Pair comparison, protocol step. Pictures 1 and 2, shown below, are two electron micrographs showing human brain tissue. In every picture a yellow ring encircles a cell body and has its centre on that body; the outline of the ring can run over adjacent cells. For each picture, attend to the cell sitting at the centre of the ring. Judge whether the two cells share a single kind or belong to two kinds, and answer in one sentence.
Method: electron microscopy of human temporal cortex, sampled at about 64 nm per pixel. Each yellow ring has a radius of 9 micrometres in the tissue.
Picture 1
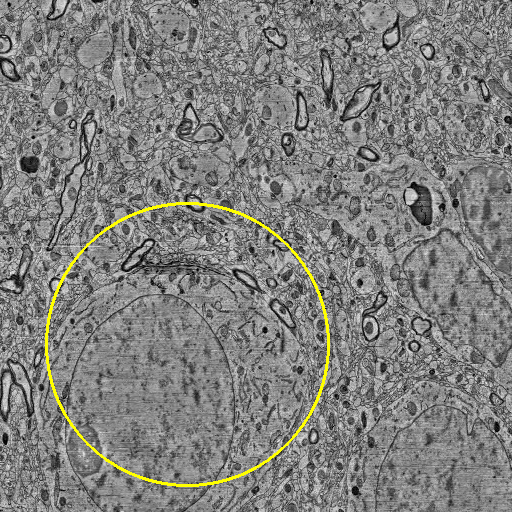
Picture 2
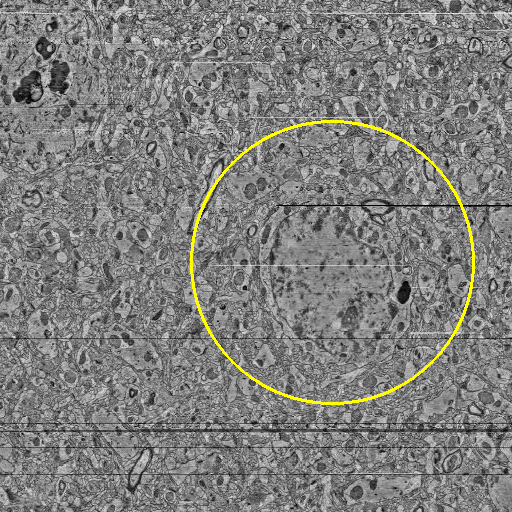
The two cells at the ring centres in Picture 1 and Picture 2 belong to two kinds.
